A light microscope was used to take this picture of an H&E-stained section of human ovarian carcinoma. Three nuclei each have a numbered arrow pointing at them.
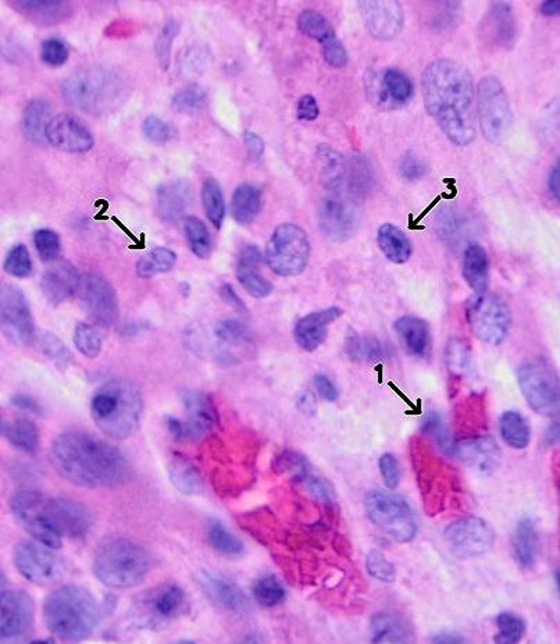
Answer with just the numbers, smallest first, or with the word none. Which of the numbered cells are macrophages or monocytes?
2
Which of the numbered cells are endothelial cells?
1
